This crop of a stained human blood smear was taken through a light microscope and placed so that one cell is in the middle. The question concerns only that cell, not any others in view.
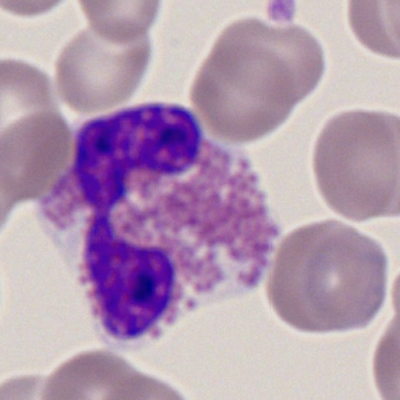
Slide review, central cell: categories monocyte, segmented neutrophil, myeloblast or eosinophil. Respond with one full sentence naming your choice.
Looking at the middle of the crop, the cell there is an eosinophil.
